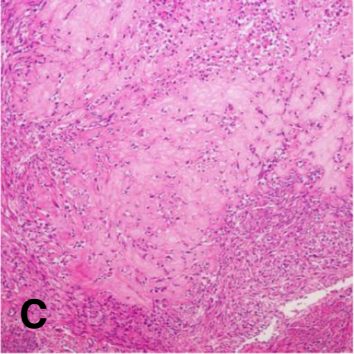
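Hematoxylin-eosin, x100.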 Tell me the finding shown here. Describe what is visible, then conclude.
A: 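Hyalinized extracellular matrix. A broad pale pink, glassy, homogeneous area in the centre. Cells lie scattered and widely spaced within this pale material.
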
